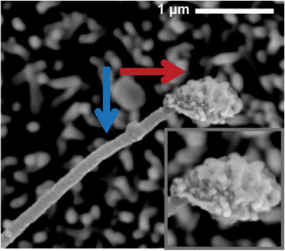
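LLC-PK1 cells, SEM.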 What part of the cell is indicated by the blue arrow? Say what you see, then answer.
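The blue arrow points at the long slender shaft below the swollen end. The answer: ciliary extension.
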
